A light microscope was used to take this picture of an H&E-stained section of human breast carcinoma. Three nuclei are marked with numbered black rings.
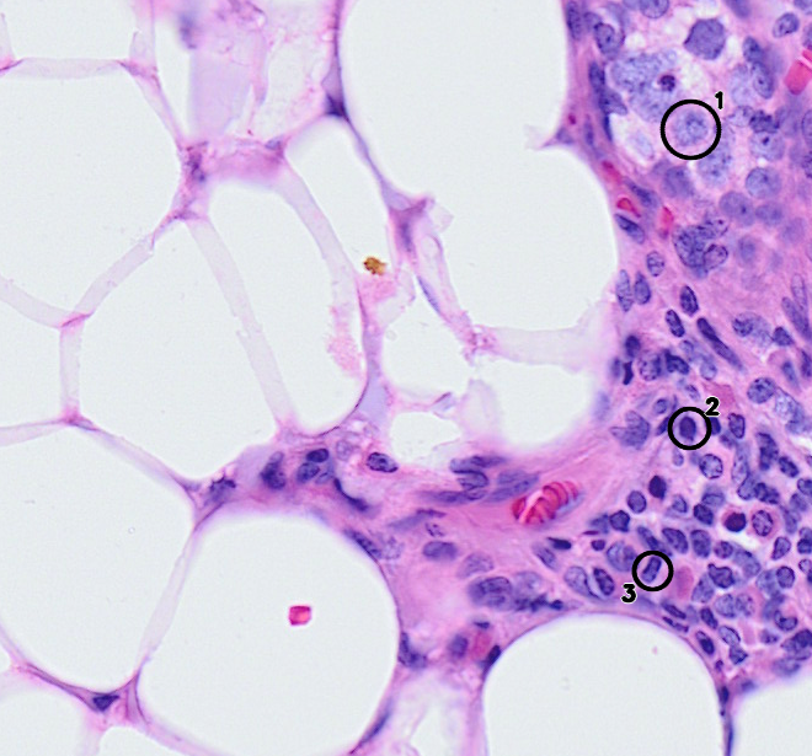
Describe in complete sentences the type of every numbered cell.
Cell 1 is a carcinoma cell, cell 2 is a lymphocyte and cell 3 is a lymphocyte.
